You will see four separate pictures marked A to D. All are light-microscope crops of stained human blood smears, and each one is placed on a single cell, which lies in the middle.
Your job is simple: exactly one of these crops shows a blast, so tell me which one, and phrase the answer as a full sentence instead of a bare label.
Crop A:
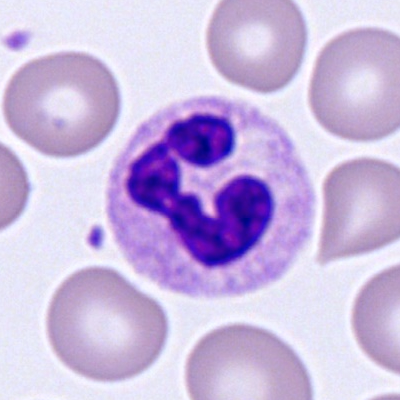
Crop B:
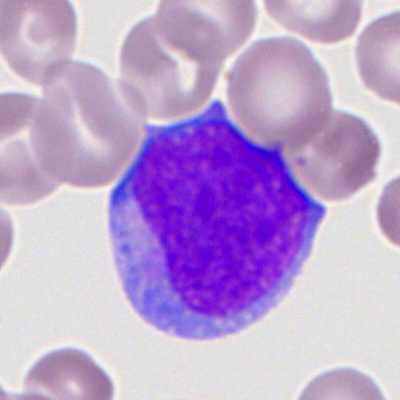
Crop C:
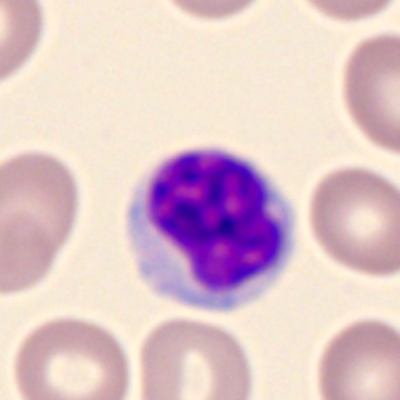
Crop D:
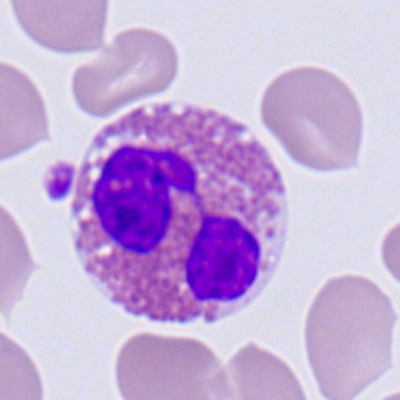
The crop bearing a blast is crop B.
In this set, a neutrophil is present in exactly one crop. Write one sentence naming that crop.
Crop A is the one to choose: it shows a neutrophil.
